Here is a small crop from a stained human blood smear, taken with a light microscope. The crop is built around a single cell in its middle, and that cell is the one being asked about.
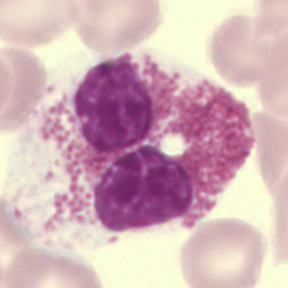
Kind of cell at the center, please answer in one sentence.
The cell in the exact centre of the crop is an eosinophil.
